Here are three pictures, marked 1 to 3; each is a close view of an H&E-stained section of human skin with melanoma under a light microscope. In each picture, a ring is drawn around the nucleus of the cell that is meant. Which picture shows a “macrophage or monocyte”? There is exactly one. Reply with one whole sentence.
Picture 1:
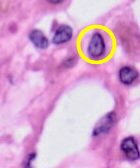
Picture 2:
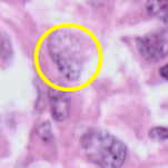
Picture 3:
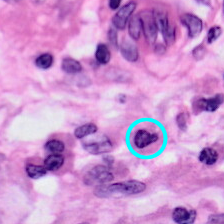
Picture 1 is the one that shows the “macrophage or monocyte”.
